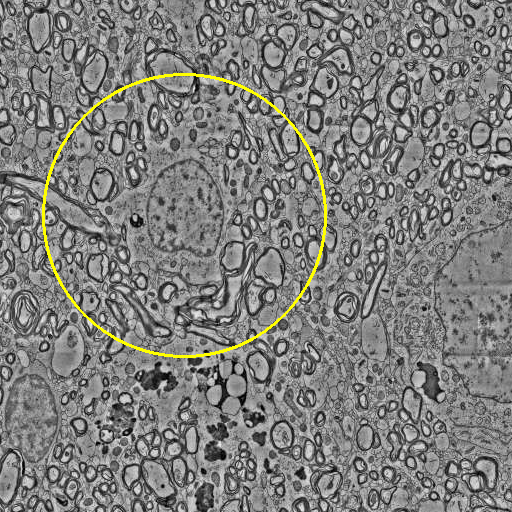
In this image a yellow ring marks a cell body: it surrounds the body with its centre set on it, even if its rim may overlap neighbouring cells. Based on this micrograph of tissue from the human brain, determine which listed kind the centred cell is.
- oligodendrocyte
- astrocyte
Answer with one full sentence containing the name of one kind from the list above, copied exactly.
It is an astrocyte whose body the yellow ring encloses at its centre.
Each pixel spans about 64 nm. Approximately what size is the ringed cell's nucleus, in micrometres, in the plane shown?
The nucleus of the ringed cell is approximately 6 by 5 micrometres in this plane.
